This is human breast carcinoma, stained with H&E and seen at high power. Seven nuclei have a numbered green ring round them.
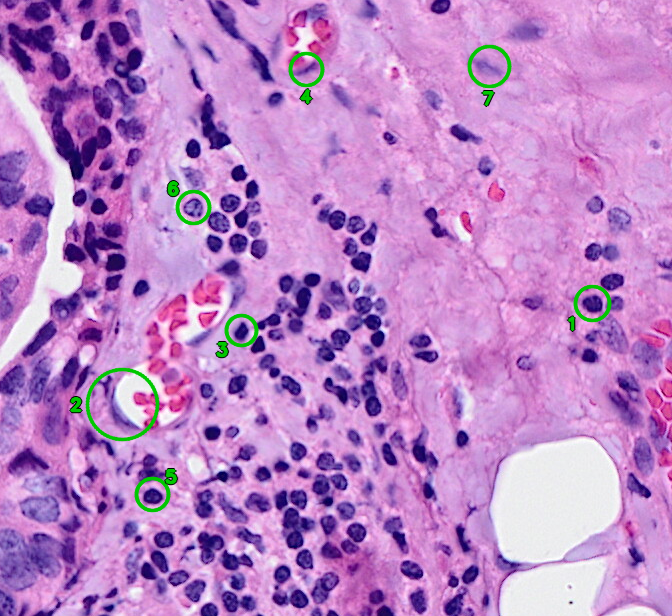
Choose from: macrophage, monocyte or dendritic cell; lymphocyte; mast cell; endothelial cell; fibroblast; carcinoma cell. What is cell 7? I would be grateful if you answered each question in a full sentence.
It is as a fibroblast that the cell numbered 7 is identified.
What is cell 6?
The cell assigned the number 6 is a mast cell.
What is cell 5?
The nucleus labeled 5 belongs to a lymphocyte.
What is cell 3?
Cell 3 in the field is a lymphocyte.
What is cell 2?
In the tissue shown, cell 2 is an endothelial cell.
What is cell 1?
Here the cell numbered 1 is a lymphocyte.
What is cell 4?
Looking at the numbered marks, cell 4 is an endothelial cell.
